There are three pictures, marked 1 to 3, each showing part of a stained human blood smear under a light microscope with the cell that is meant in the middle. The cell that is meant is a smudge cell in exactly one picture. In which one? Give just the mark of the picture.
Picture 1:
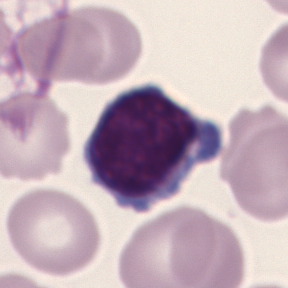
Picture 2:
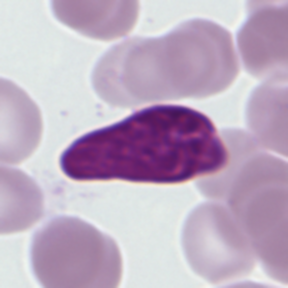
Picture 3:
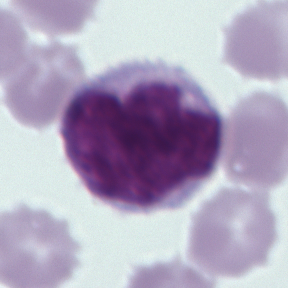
2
